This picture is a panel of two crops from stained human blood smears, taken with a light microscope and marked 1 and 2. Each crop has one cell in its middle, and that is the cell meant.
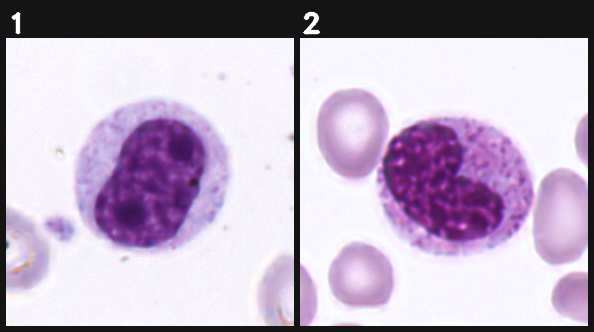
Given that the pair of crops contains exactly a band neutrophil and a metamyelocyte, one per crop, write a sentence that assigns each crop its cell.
Crops 1 and 2 are, respectively, a metamyelocyte and a band neutrophil.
